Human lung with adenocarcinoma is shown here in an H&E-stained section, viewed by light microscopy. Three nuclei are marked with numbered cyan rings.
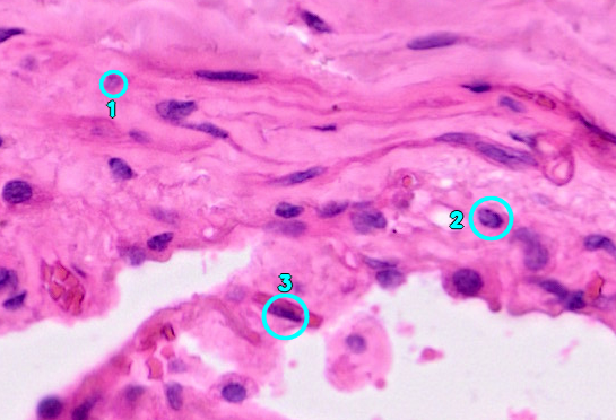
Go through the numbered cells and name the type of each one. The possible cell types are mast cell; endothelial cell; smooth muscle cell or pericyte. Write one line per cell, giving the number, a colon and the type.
1: smooth muscle cell or pericyte
2: mast cell
3: endothelial cell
